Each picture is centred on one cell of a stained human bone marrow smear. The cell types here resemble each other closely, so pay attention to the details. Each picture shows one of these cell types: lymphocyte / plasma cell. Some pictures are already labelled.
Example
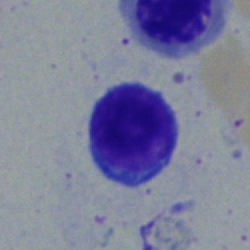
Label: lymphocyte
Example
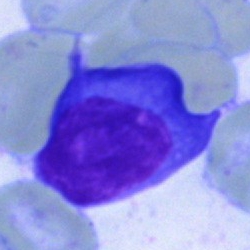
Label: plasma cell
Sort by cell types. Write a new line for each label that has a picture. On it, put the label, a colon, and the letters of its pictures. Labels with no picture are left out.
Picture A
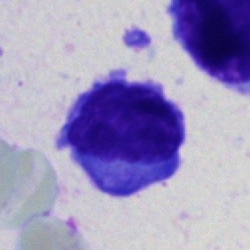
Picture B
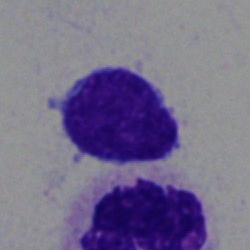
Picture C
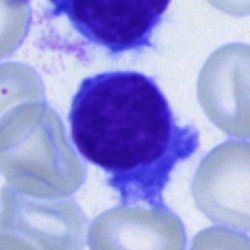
lymphocyte: B, C
plasma cell: A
